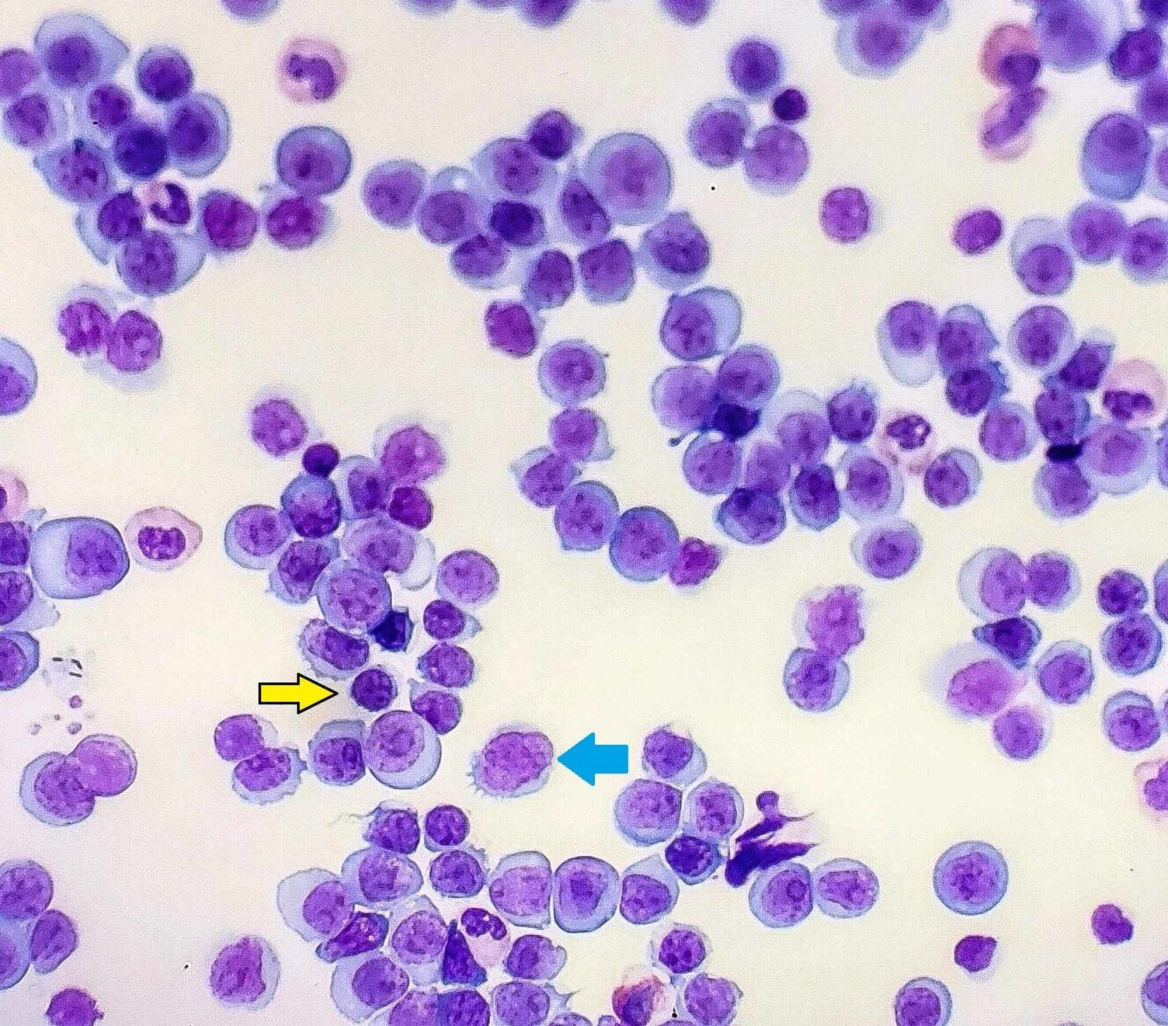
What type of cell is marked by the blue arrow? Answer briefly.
Abnormal lymphoid cells.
